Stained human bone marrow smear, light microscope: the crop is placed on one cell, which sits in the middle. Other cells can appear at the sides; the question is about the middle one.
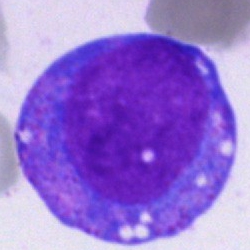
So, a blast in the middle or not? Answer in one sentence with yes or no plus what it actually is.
Yes, the cell shown in the middle is a blast.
